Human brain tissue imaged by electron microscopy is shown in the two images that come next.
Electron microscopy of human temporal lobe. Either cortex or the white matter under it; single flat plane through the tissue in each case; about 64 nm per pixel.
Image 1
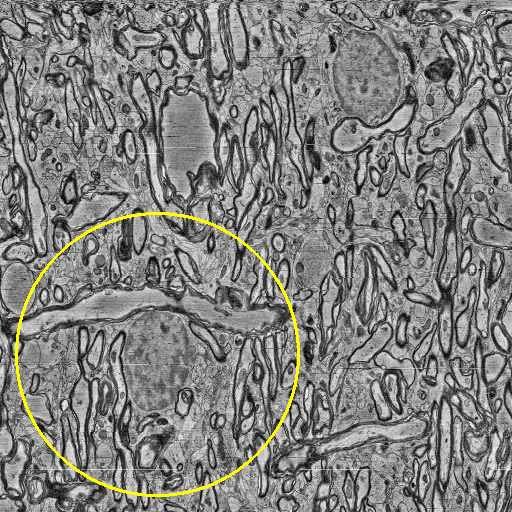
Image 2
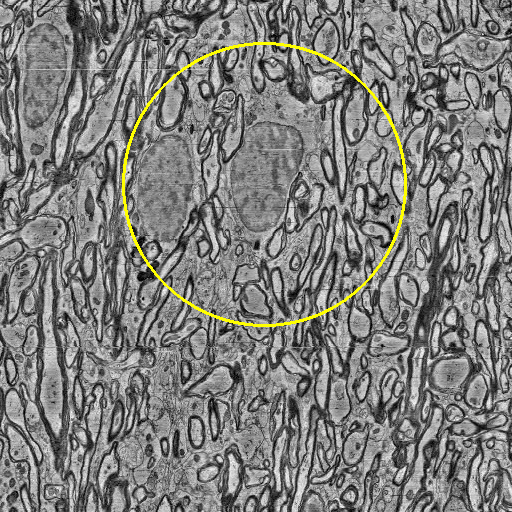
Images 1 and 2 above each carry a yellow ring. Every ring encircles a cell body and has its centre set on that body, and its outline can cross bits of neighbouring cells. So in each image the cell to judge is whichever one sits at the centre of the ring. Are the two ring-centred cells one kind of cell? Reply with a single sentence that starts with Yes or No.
Yes, in Image 1 and Image 2 the cells at the centres of their rings fall into one type.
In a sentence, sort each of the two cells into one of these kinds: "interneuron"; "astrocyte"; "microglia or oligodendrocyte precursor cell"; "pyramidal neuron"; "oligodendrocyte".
In each picture the ringed cell is an oligodendrocyte.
